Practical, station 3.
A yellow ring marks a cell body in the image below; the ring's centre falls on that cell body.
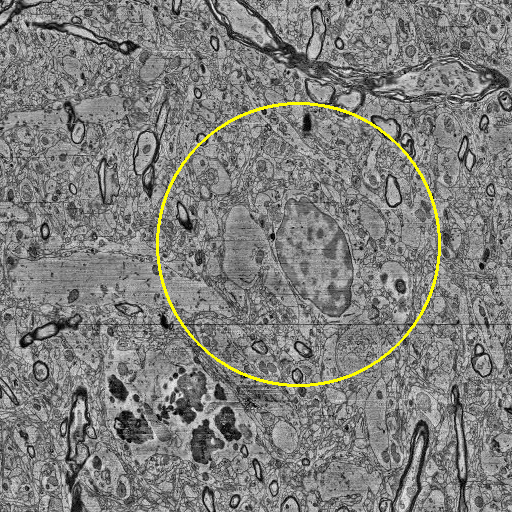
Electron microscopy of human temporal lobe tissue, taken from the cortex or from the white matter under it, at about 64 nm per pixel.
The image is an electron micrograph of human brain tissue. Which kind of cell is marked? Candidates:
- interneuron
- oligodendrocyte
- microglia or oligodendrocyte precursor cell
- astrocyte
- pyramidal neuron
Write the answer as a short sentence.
The marked cell body is that of a microglial cell or oligodendrocyte precursor cell.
